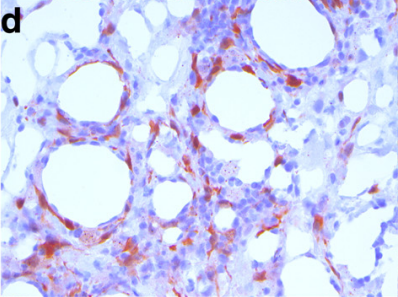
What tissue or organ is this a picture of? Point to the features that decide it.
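Fat. Large round empty spaces of varying size fill much of the panel. Thin rims of cells and stroma separate the empty spaces.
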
